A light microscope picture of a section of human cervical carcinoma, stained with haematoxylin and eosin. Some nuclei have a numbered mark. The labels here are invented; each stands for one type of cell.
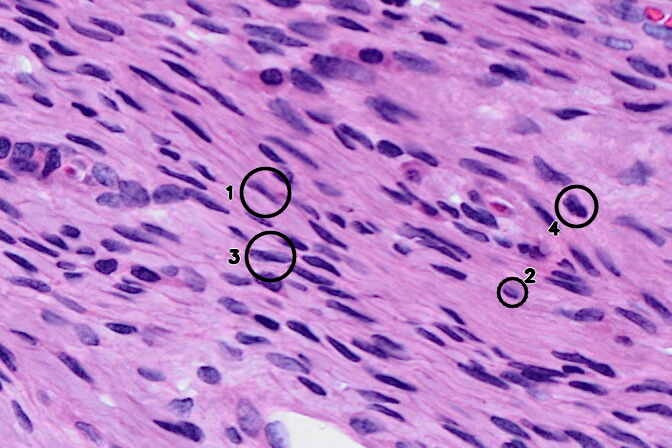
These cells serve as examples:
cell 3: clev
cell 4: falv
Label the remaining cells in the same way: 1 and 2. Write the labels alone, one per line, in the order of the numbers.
clev
clev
